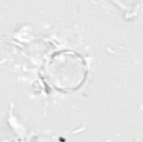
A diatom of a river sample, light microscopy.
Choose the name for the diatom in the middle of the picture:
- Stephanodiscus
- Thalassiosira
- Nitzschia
Thalassiosira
